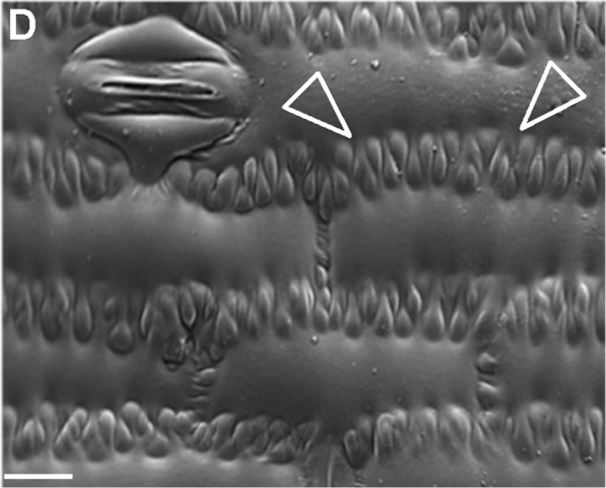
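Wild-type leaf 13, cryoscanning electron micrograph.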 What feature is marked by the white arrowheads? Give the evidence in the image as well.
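Epidermal lobing pattern. The arrowheads point at the boundary between two rows of elongated surface cells. The boundary is made of many bulbous, drop-shaped projections interdigitating between the cells.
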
